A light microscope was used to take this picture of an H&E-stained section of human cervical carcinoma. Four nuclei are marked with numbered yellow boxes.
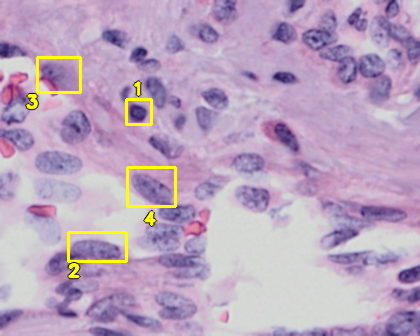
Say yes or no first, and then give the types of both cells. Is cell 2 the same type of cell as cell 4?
Yes, by cell type, cells 2 and 4 are both endothelial cells.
